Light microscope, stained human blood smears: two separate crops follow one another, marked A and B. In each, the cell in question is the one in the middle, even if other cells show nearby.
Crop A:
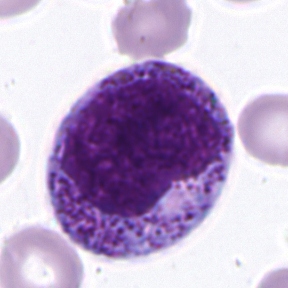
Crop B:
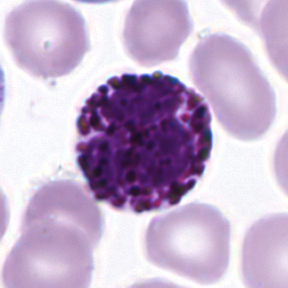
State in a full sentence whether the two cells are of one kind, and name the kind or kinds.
No, crop A is of a promyelocyte, and crop B is of a basophil.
